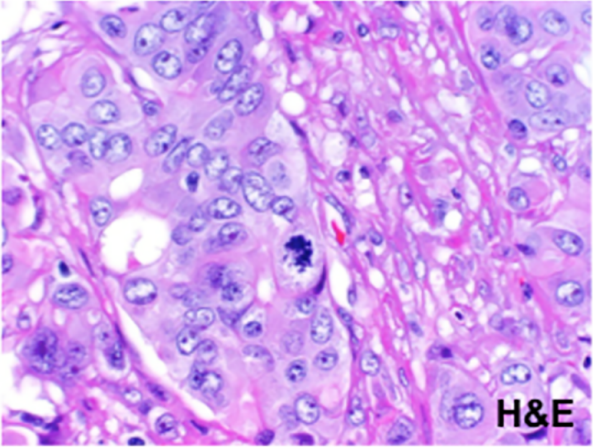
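Large polygonal tumour cells are arranged in nests with abundant pink cytoplasm. Their nuclei are large, round to oval and vesicular, and many have distinct nucleoli. Near the centre one cell shows irregular, clumped, dark chromatin without a nuclear membrane, an abnormal mitotic figure. A small lumen with pale content lies at the left. To the right, loose pink stroma with pale vacuolated spaces runs between the nests.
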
